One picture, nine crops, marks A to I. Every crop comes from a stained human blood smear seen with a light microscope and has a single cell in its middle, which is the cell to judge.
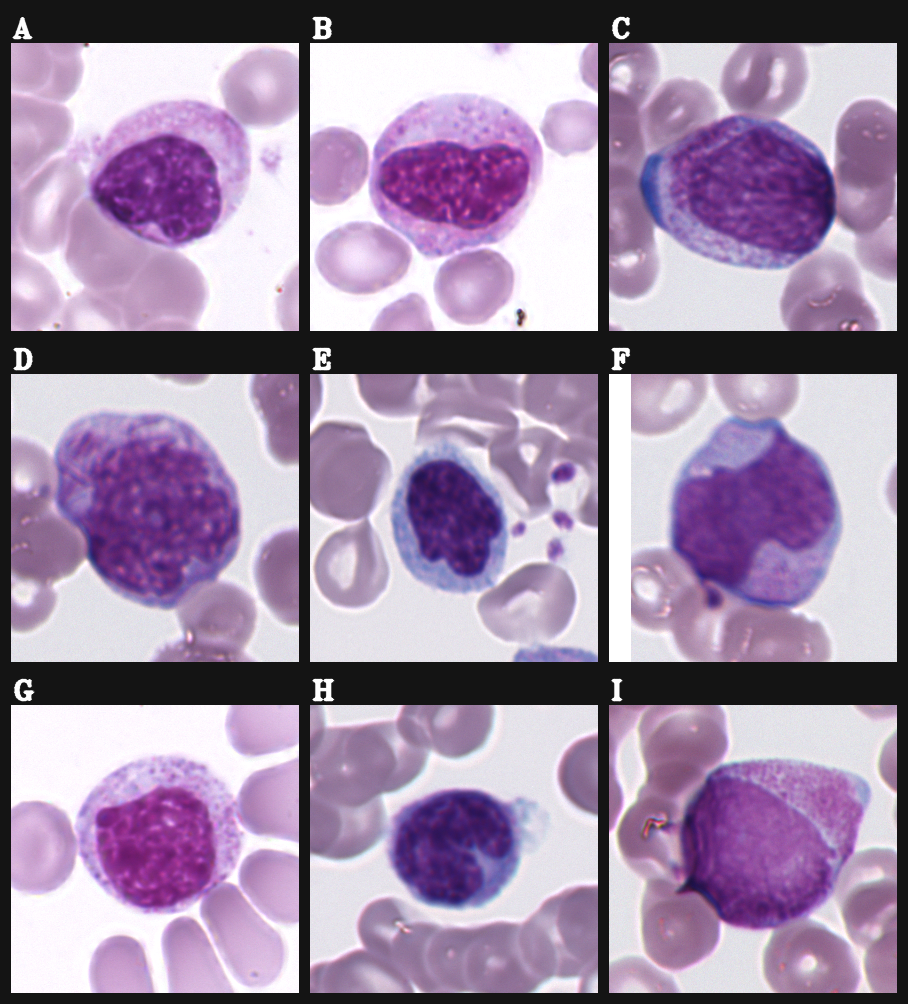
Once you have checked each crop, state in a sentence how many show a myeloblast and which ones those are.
The count here is zero, as not one crop shows myeloblasts.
